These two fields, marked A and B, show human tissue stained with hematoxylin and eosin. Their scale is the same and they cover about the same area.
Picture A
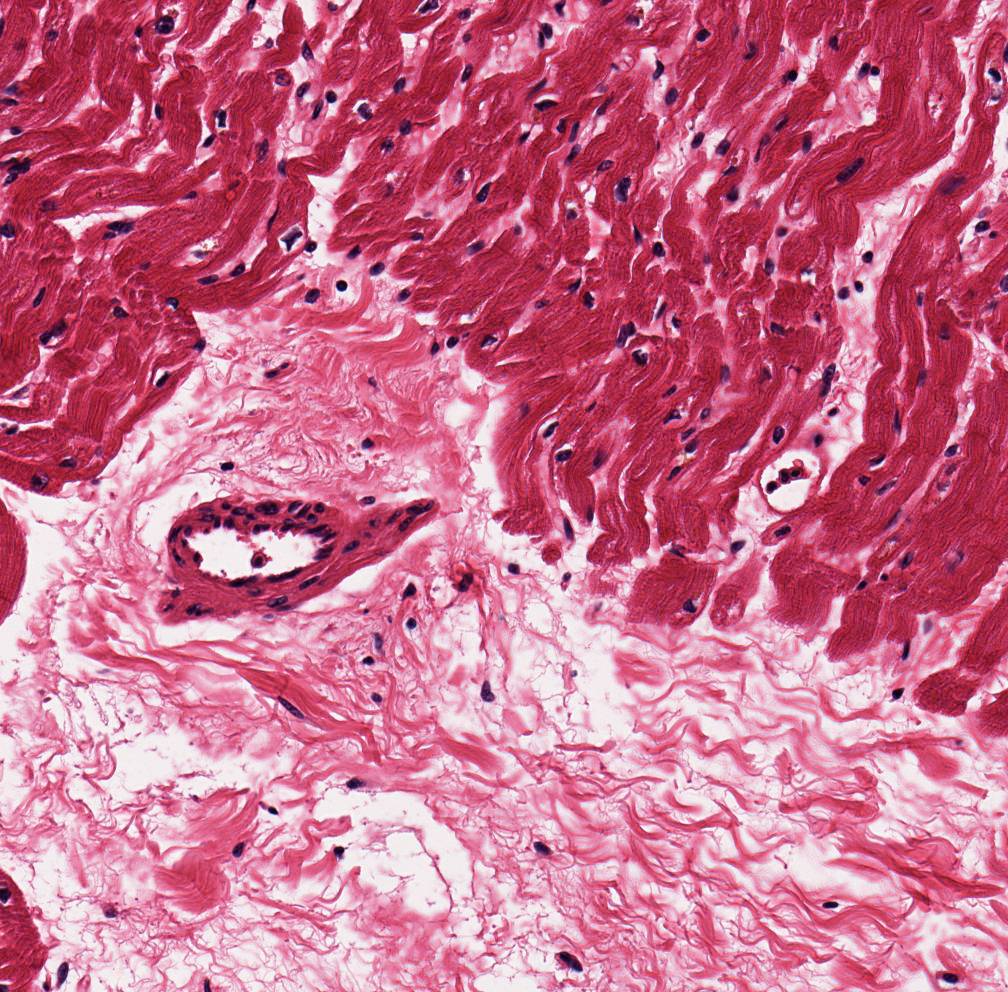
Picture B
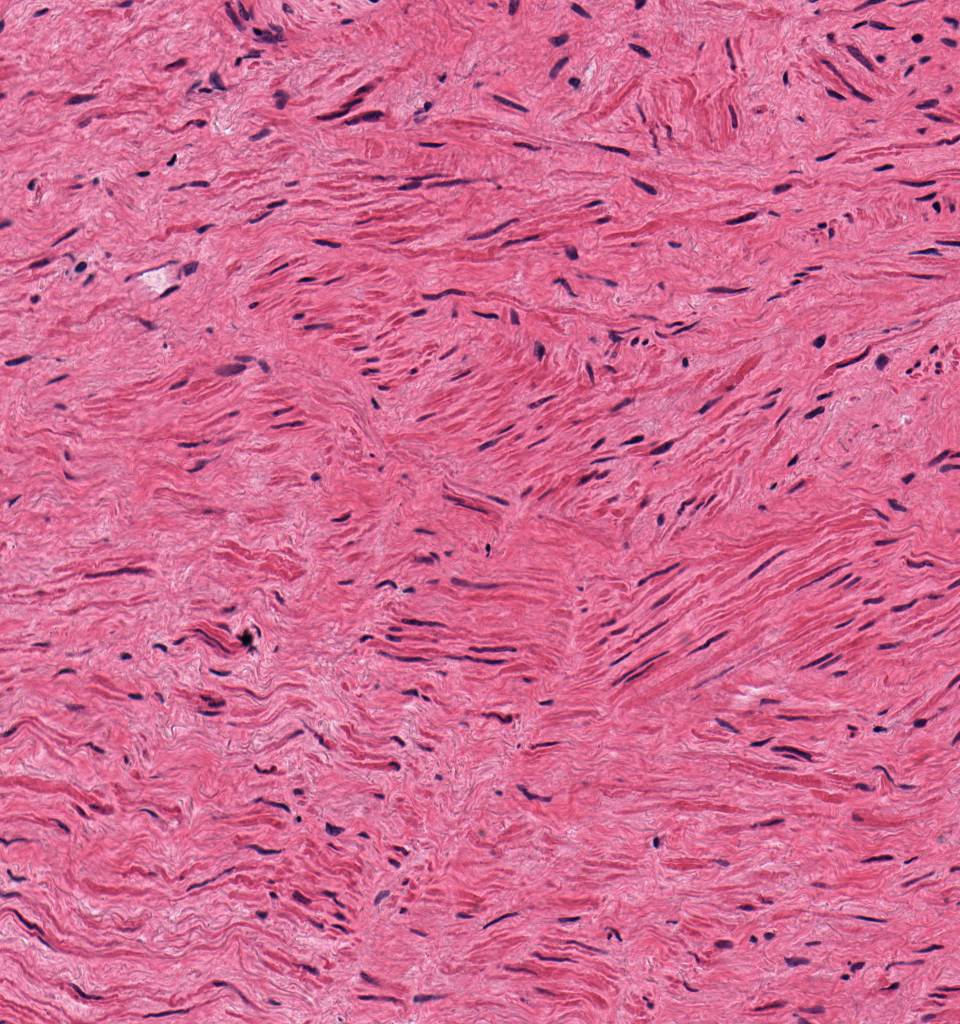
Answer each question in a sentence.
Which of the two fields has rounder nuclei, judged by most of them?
The nuclei are rounder in picture A.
